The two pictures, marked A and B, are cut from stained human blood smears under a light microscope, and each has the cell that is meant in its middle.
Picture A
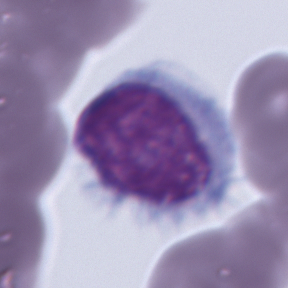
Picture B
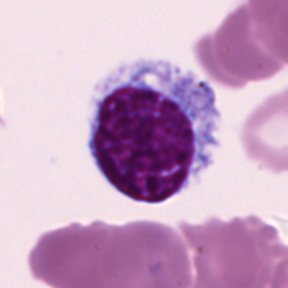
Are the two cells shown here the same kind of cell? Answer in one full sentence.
Yes, the two pictures both show hairy cells.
